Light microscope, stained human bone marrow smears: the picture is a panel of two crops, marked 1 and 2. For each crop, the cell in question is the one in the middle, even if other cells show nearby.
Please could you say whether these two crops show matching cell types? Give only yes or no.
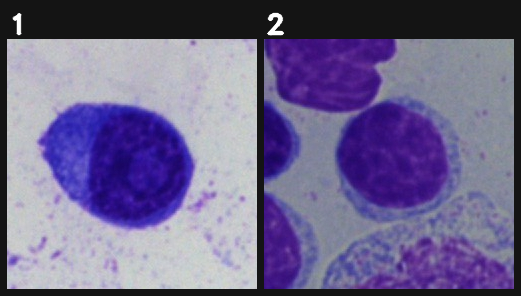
no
